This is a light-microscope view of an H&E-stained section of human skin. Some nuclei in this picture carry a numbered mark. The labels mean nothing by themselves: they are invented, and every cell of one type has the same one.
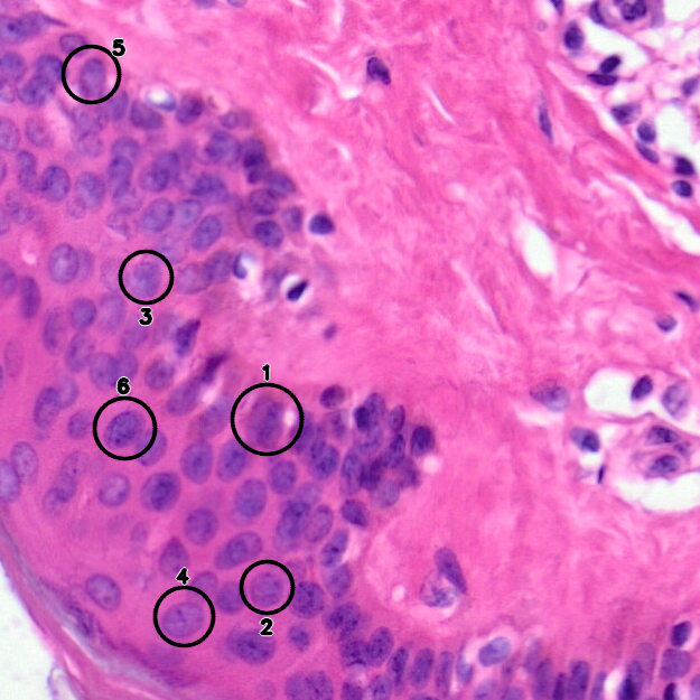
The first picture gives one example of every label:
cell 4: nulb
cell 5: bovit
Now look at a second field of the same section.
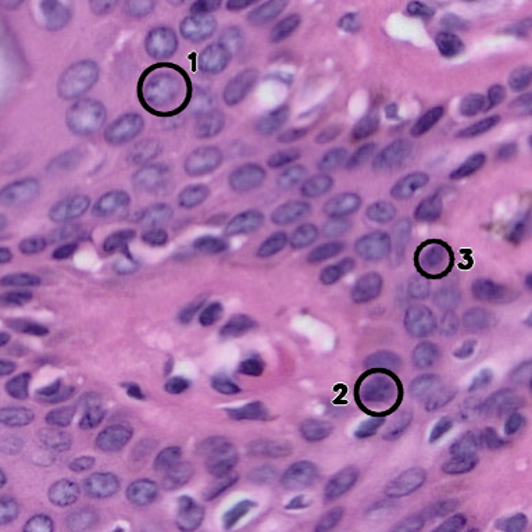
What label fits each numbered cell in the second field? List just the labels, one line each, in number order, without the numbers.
nulb
bovit
bovit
